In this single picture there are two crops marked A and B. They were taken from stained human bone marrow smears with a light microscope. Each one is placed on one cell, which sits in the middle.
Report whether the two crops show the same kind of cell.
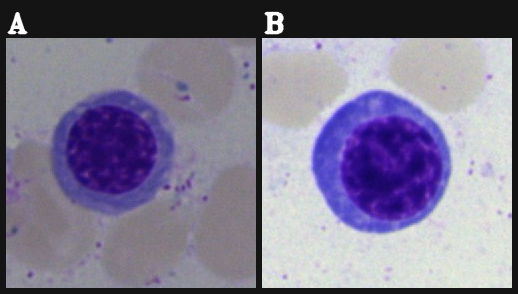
yes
